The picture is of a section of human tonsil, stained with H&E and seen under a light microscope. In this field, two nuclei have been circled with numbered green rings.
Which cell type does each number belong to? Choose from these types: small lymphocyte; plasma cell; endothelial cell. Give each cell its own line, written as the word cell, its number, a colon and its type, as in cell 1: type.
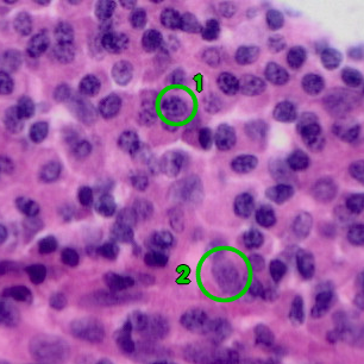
cell 1: plasma cell
cell 2: endothelial cell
